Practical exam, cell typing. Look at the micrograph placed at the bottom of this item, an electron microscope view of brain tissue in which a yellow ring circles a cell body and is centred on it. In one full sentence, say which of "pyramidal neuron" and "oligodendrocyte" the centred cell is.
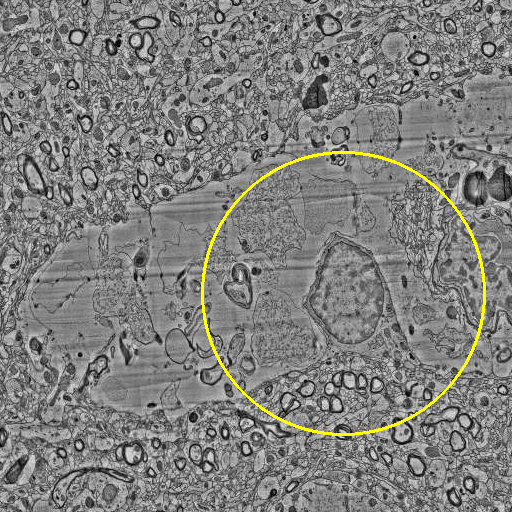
Given the options, an oligodendrocyte fits the cell whose body the yellow ring is centred on.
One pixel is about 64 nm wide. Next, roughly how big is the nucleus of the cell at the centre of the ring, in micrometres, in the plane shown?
In this plane the nucleus measures roughly 7 by 5 micrometers.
